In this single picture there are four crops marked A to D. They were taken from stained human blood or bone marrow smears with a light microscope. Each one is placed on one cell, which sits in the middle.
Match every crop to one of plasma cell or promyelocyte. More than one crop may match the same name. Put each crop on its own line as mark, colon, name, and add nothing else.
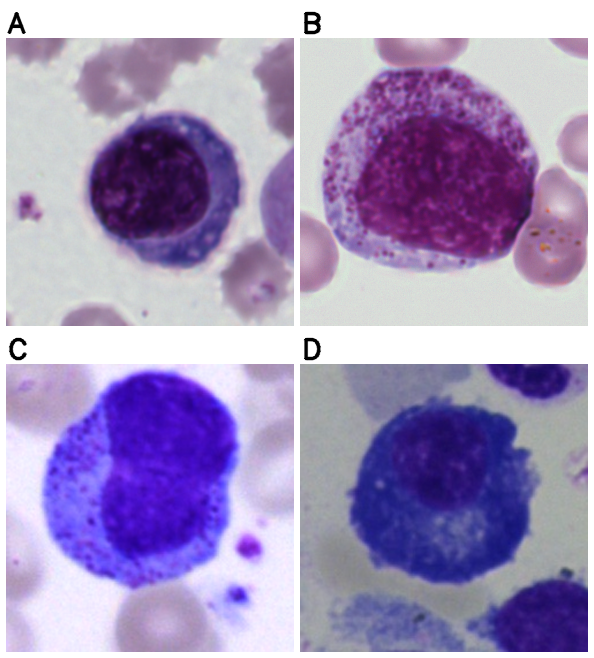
A: plasma cell
B: promyelocyte
C: promyelocyte
D: plasma cell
